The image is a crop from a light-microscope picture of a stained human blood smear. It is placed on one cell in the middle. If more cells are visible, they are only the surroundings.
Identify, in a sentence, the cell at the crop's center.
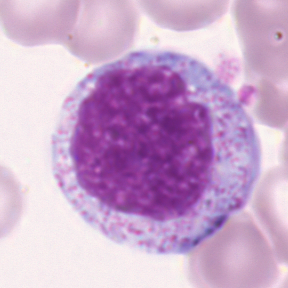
In the central position of this crop, the cell is a promyelocyte.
